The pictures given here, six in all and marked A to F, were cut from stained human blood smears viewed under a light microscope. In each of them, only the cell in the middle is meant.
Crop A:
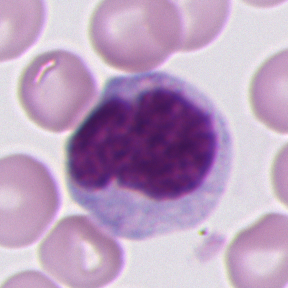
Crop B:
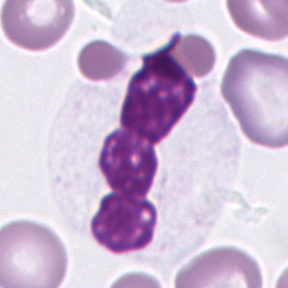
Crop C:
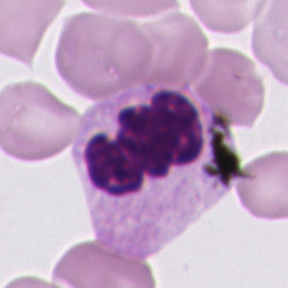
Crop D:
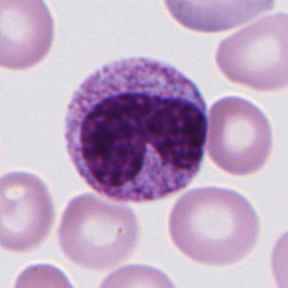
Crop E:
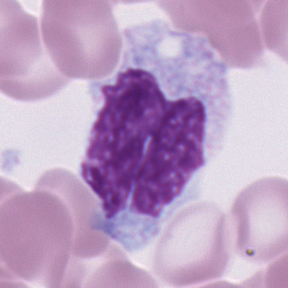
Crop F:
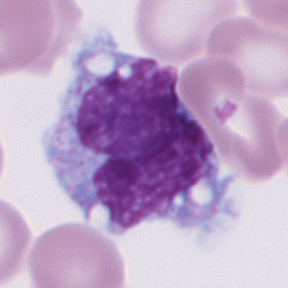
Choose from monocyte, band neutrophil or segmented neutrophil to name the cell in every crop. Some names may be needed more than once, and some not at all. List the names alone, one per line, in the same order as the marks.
monocyte
segmented neutrophil
segmented neutrophil
band neutrophil
monocyte
monocyte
